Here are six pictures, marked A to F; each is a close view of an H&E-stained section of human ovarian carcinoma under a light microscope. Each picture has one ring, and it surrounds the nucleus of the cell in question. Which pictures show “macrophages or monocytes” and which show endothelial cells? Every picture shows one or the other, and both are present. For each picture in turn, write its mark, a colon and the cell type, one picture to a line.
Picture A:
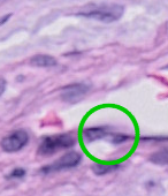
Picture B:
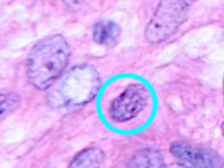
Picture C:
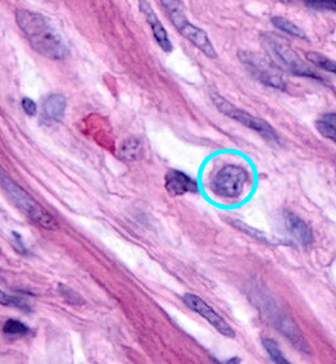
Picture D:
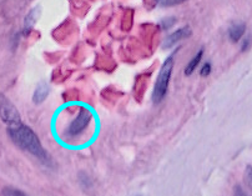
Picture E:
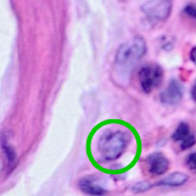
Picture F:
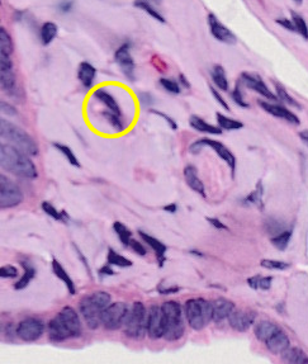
A: endothelial cell
B: macrophage or monocyte
C: macrophage or monocyte
D: endothelial cell
E: endothelial cell
F: endothelial cell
